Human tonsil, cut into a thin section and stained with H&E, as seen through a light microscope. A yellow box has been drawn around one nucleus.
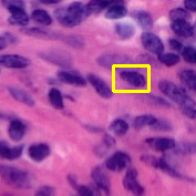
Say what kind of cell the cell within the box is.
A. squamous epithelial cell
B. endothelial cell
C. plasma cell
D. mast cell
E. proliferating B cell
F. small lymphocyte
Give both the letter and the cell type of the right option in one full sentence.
The correct response is option B: the cell within the box is an endothelial cell.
